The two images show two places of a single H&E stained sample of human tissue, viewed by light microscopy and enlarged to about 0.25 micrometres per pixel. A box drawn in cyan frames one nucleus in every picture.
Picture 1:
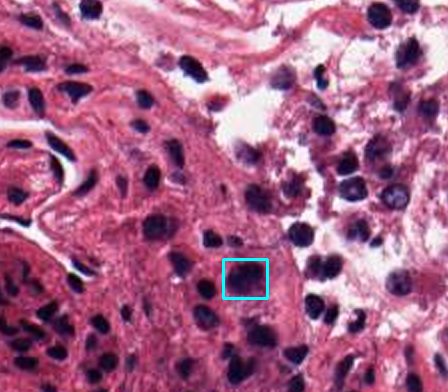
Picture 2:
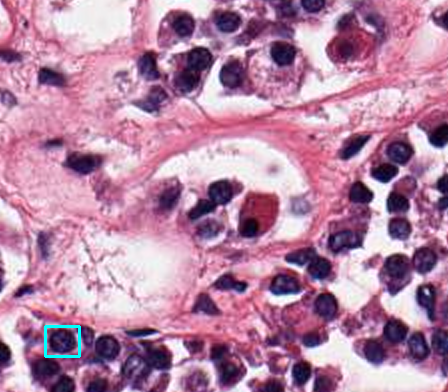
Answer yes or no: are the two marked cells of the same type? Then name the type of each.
Yes, both are anterior pituitary cells.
